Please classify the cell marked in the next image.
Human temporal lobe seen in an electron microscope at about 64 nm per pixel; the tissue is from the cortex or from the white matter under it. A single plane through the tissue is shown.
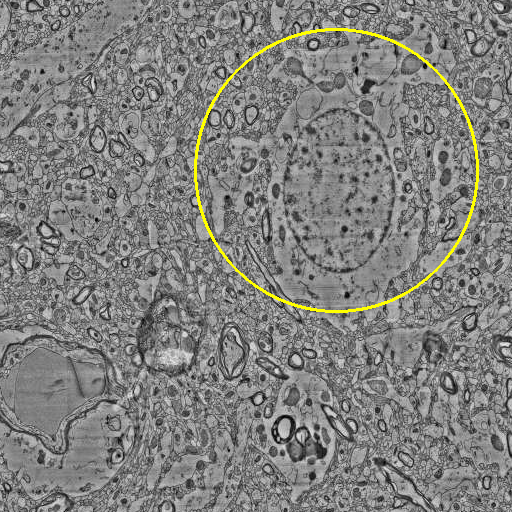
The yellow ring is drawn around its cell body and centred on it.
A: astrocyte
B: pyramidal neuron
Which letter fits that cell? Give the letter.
A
